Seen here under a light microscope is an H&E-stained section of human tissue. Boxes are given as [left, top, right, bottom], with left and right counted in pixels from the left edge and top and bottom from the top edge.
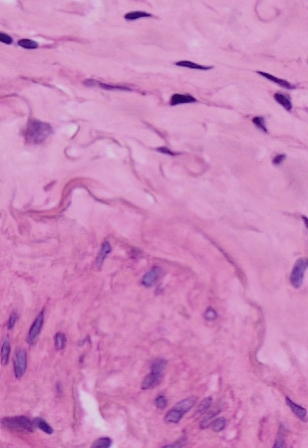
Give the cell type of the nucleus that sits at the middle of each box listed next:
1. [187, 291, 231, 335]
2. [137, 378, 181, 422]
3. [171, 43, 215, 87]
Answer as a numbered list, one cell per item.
1. smooth muscle cell or pericyte
2. smooth muscle cell or pericyte
3. fibroblast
